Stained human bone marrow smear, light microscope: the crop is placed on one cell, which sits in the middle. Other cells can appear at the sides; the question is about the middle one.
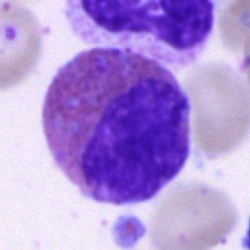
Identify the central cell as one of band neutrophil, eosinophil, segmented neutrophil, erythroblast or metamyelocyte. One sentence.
At the center of the crop sits an eosinophil.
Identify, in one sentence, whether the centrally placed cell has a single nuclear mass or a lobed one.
See how the nucleus sits as one compact round, oval or kidney-shaped mass.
